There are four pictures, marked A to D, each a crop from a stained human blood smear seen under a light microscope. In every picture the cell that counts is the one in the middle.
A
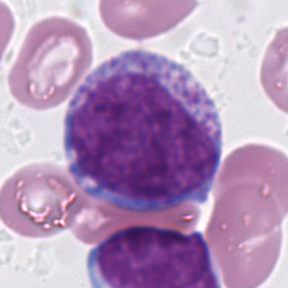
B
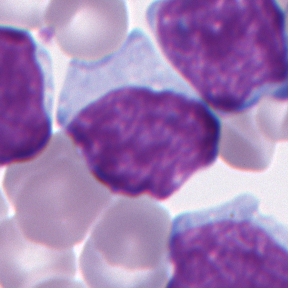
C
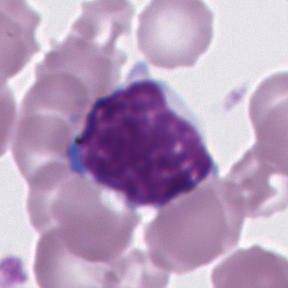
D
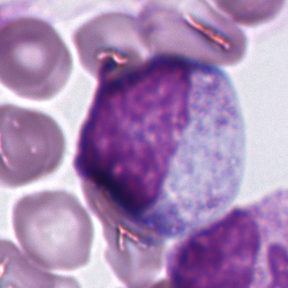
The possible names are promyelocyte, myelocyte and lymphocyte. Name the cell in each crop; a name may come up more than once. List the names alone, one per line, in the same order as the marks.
promyelocyte
lymphocyte
lymphocyte
myelocyte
